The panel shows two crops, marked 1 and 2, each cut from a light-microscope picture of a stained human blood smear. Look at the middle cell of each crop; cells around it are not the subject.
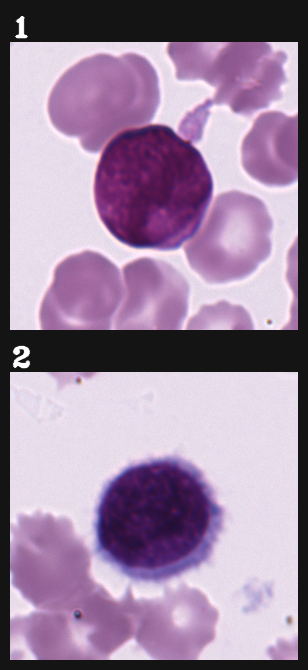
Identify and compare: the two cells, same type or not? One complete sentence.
No, crop 1 shows a blast, and it is crop 2 that shows a hairy cell.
